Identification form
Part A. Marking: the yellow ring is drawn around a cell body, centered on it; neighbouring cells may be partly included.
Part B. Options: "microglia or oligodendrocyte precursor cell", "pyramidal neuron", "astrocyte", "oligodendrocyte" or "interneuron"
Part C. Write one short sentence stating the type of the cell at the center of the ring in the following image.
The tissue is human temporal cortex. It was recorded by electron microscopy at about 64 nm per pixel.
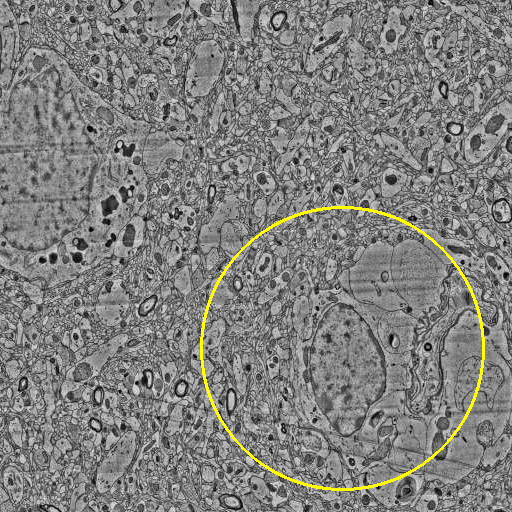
The center of the ring holds a microglial cell or oligodendrocyte precursor cell.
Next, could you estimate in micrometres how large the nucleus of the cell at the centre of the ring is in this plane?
The nucleus works out at approximately 7 by 5 micrometres in this plane.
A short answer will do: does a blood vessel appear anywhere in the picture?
Yes, a blood vessel shows in the picture.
